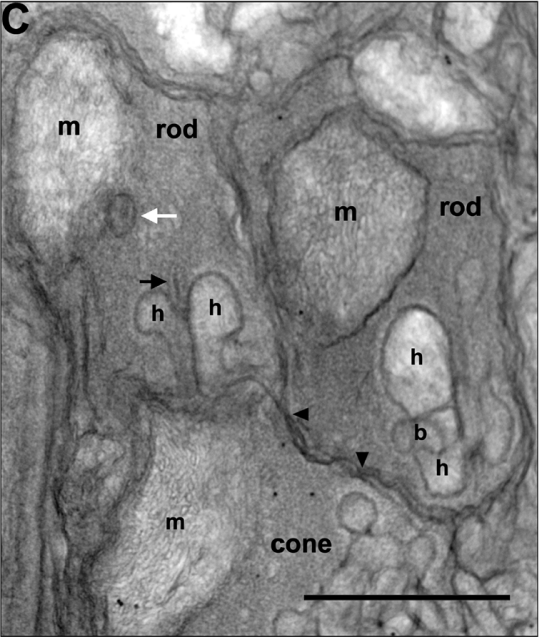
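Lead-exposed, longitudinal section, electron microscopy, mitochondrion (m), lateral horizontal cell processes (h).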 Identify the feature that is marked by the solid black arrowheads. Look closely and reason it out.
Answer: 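Gap junctions. The arrowheads point at a stretch where two terminal membranes lie closely apposed. The apposed membranes look dark and thickened.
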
